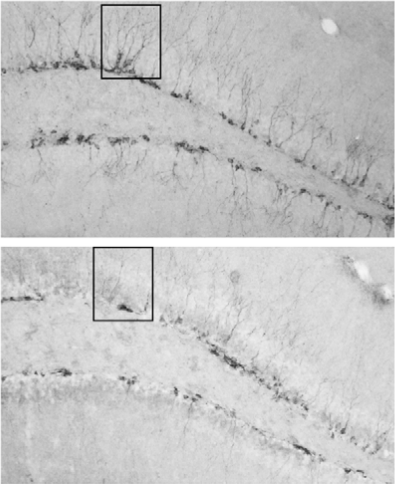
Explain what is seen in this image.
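The stained cell bodies form a thin, interrupted row at the border of the granule cell layer. Fine processes rise from them radially across the pale granule cell layer. The rest of the tissue shows only faint background.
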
